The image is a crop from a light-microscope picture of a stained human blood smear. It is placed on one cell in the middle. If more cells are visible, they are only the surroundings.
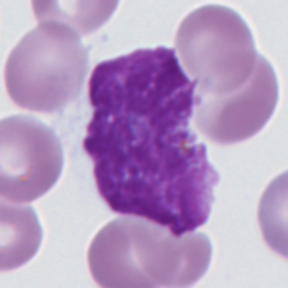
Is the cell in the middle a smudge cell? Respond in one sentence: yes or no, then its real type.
Yes, it is a smudge cell that lies in the middle.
